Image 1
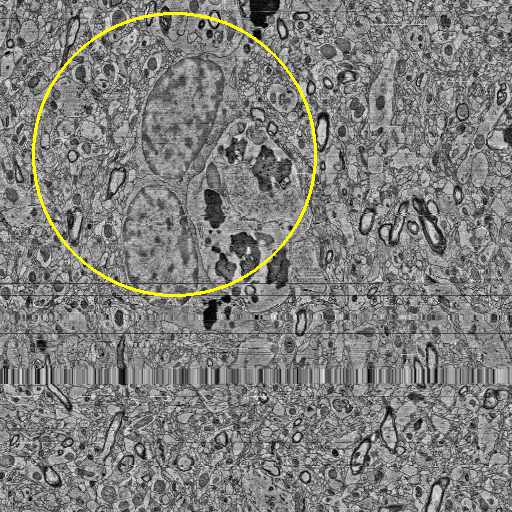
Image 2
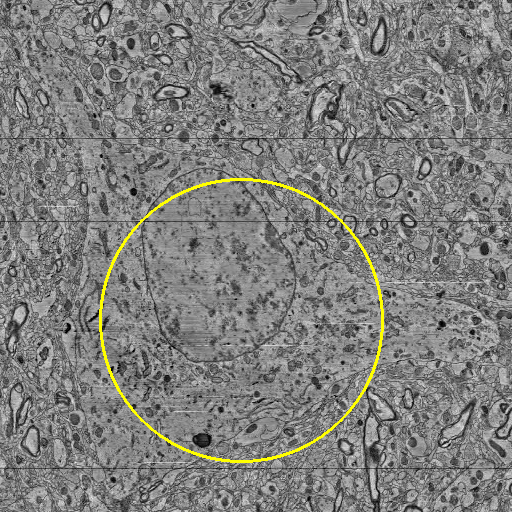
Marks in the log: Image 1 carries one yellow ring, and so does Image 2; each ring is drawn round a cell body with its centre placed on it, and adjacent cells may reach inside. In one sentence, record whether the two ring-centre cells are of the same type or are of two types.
The two cells at the ring centres, one in each image, are of two types.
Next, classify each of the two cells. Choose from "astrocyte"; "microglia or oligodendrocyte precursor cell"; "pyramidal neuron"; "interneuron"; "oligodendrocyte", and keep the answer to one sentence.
In the first picture it is an oligodendrocyte; in the second it is a pyramidal neuron.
